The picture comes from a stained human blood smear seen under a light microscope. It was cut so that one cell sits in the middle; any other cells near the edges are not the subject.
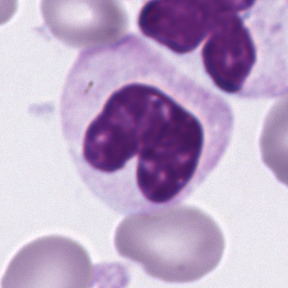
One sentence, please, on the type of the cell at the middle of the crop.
The cell of interest, located centrally, is a band neutrophil.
